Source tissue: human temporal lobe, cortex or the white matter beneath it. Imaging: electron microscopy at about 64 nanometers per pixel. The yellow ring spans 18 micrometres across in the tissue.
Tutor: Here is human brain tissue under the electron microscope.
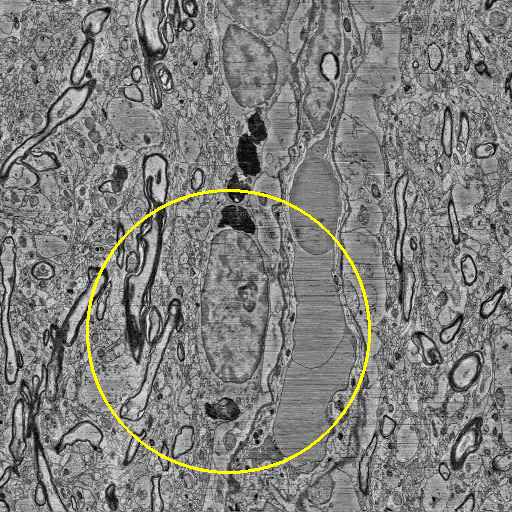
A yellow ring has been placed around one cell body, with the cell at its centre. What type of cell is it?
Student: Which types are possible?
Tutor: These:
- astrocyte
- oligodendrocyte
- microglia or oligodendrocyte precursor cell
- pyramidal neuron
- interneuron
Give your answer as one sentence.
What the ring picks out here is an oligodendrocyte.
